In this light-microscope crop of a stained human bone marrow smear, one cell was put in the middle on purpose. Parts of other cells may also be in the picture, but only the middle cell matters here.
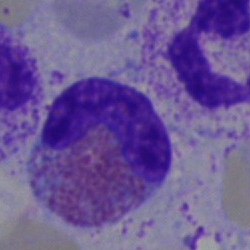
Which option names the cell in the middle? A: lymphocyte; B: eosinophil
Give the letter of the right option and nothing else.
B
